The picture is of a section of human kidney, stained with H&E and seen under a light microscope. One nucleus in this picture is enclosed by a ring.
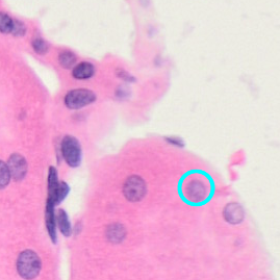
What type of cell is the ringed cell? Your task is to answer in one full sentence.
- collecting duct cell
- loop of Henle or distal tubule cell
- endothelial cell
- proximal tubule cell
In this tissue sample, the ringed cell is a proximal tubule cell.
